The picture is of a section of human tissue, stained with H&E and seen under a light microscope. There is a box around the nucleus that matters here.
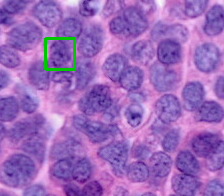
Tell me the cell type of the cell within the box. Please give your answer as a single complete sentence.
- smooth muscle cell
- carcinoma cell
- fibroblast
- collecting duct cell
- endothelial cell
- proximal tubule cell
In terms of identity, the cell within the box is a carcinoma cell.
